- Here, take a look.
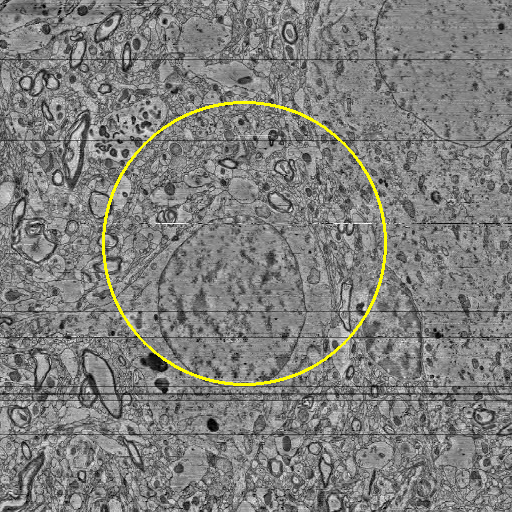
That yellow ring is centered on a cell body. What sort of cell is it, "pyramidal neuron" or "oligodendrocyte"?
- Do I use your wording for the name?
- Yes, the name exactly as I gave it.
pyramidal neuron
